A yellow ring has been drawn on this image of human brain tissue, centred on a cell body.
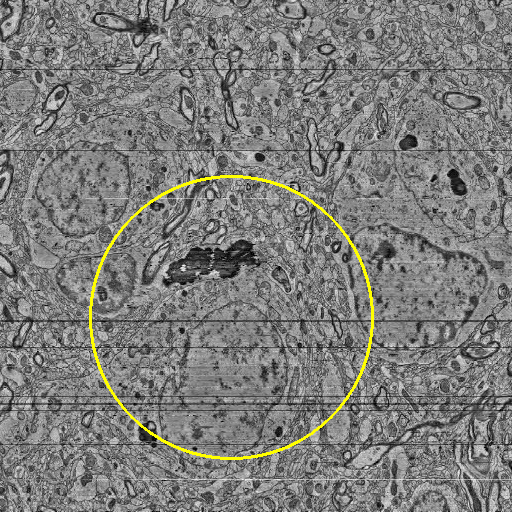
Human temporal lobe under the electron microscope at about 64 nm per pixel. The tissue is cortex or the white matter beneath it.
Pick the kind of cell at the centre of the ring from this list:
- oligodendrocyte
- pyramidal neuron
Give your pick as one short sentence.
The centre of the ring holds a pyramidal neuron.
